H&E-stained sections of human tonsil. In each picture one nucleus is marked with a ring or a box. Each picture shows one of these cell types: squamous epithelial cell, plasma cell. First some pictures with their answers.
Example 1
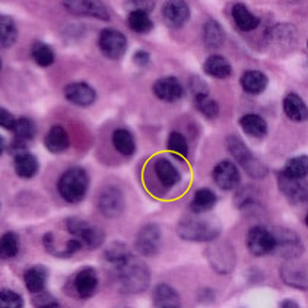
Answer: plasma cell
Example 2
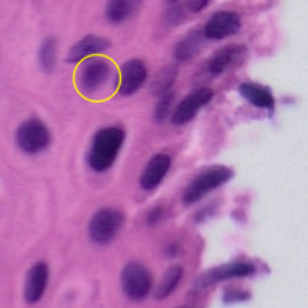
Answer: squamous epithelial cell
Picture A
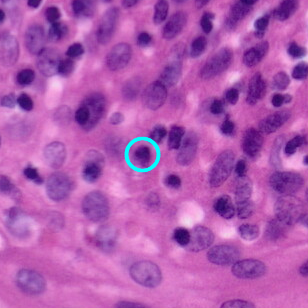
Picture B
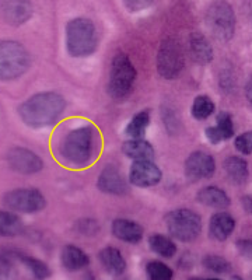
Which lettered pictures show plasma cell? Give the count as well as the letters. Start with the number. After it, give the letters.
0, none of them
